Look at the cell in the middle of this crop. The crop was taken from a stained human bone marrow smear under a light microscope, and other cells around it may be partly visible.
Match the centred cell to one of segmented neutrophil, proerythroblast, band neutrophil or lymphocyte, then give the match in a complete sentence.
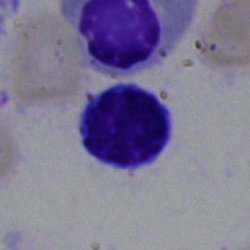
Here the cell in the middle is a lymphocyte.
